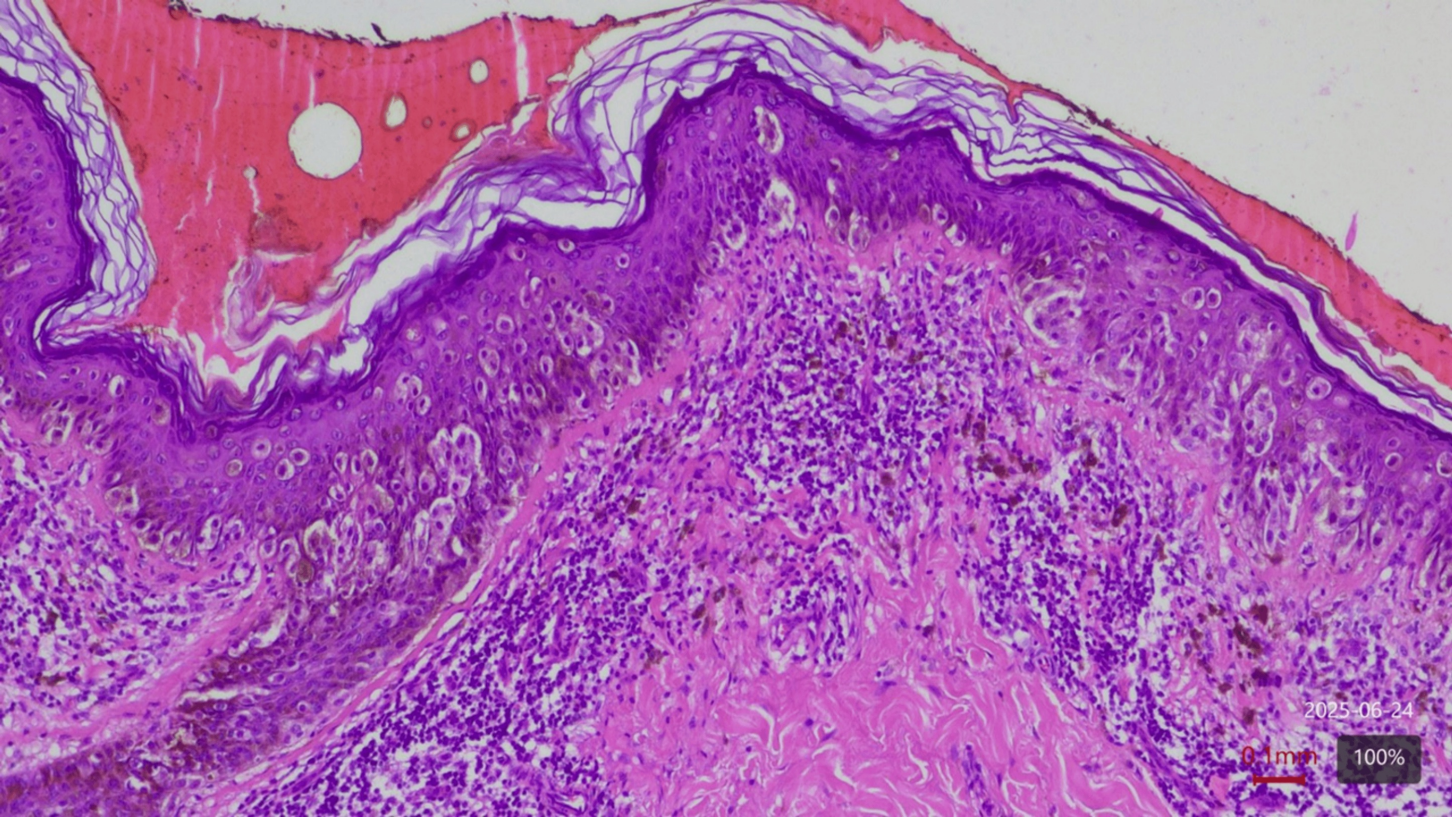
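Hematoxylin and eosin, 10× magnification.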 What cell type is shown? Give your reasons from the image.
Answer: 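Atypical melanocytes. Nests of large pale cells with clear cytoplasm sit along the base of the epidermis. Some of these pale cells are scattered higher within the epidermis. Brown pigment lies near the nests.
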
